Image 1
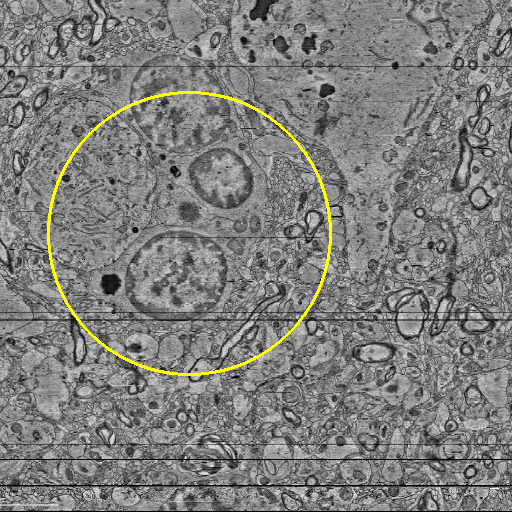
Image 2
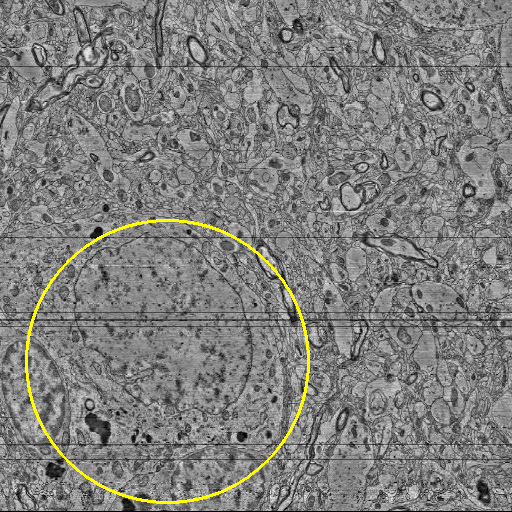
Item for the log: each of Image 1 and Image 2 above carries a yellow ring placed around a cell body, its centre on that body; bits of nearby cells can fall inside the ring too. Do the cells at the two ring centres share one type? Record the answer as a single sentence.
No, the two cells at the ring centres in Image 1 and Image 2 are of two types.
